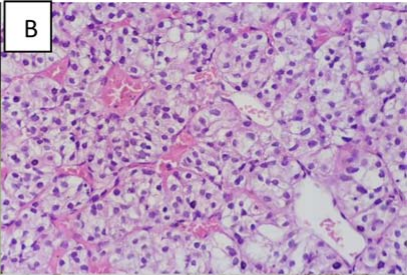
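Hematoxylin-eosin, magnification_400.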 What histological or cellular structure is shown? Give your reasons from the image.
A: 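Nests of cells with clear cytoplasm. Cells are grouped in rounded clusters separated by thin pink septa. Each cell has a pale, almost empty-looking cytoplasm with distinct cell borders. Small round dark nuclei sit within the pale cells.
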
